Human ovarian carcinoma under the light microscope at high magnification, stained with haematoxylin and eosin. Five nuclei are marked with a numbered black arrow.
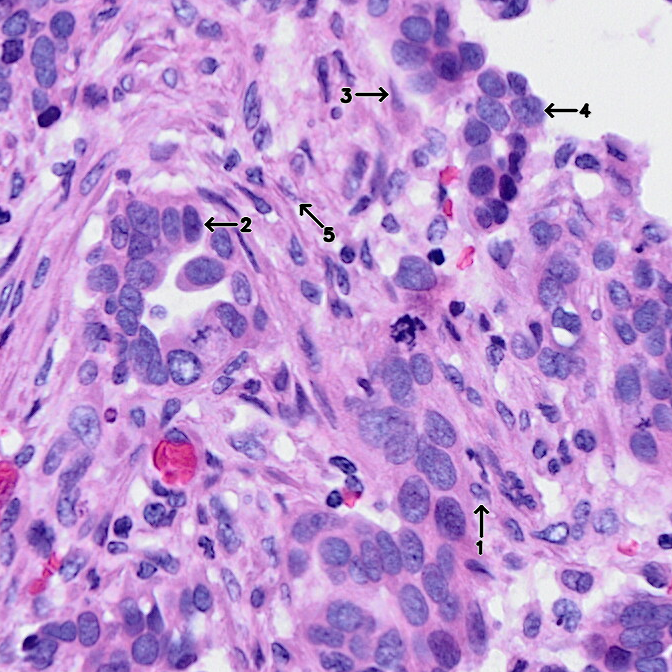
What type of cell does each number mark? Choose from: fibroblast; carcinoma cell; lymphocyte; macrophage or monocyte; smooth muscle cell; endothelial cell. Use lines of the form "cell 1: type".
cell 1: fibroblast
cell 2: carcinoma cell
cell 3: fibroblast
cell 4: carcinoma cell
cell 5: fibroblast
